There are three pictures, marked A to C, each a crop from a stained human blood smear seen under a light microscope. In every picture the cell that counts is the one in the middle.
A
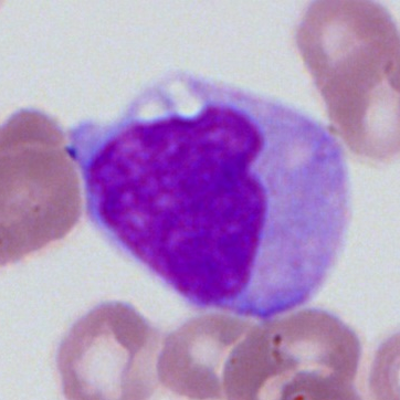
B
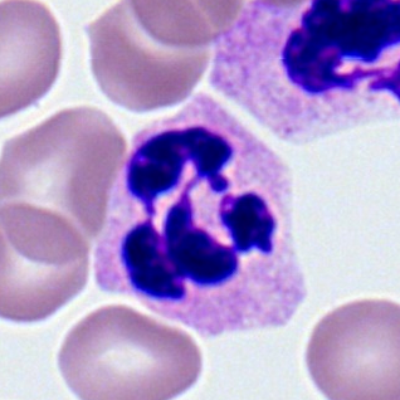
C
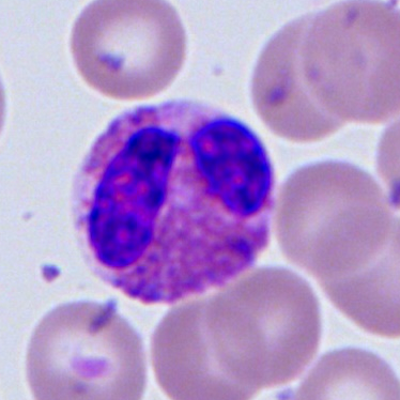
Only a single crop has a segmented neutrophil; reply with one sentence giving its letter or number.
Crop B is the one in this set that shows a segmented neutrophil.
